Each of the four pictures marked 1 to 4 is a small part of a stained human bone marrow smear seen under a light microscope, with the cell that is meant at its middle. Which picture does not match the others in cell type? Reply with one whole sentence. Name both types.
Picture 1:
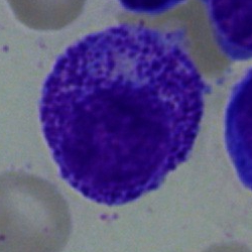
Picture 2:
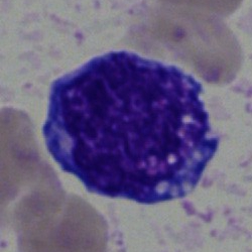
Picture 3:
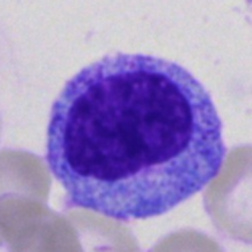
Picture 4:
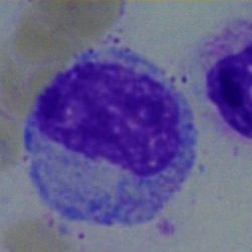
All pictures except 2 show myelocytes; picture 2 shows a promyelocyte.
